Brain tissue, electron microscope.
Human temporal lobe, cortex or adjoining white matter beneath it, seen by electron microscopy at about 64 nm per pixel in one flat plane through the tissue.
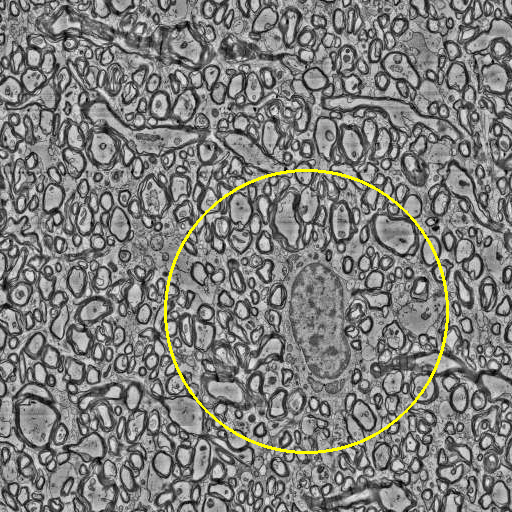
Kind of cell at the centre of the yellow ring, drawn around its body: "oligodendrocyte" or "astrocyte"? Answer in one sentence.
The ring's centre falls on an oligodendrocyte.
